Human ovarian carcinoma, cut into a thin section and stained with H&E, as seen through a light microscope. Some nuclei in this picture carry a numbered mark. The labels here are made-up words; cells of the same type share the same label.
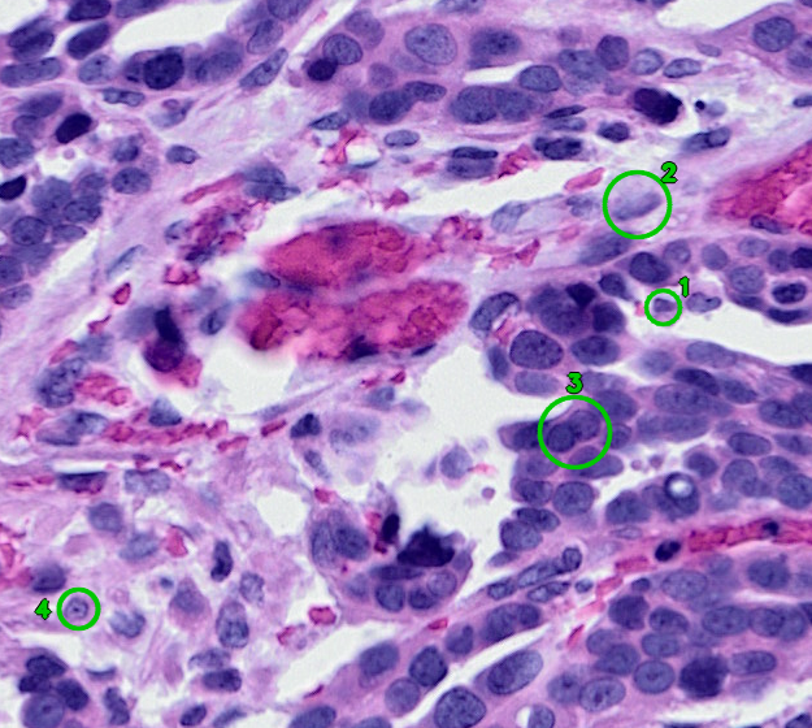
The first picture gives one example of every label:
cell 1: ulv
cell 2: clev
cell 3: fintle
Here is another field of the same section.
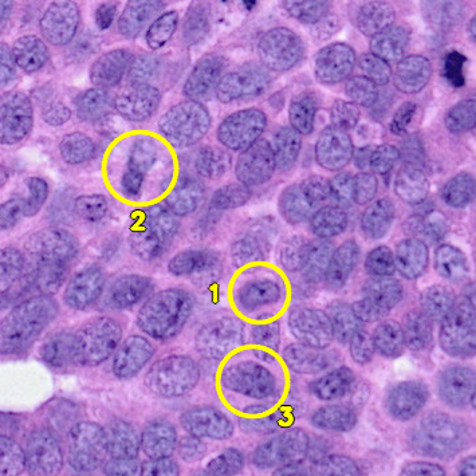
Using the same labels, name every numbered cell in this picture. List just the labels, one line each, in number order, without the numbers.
ulv
ulv
fintle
